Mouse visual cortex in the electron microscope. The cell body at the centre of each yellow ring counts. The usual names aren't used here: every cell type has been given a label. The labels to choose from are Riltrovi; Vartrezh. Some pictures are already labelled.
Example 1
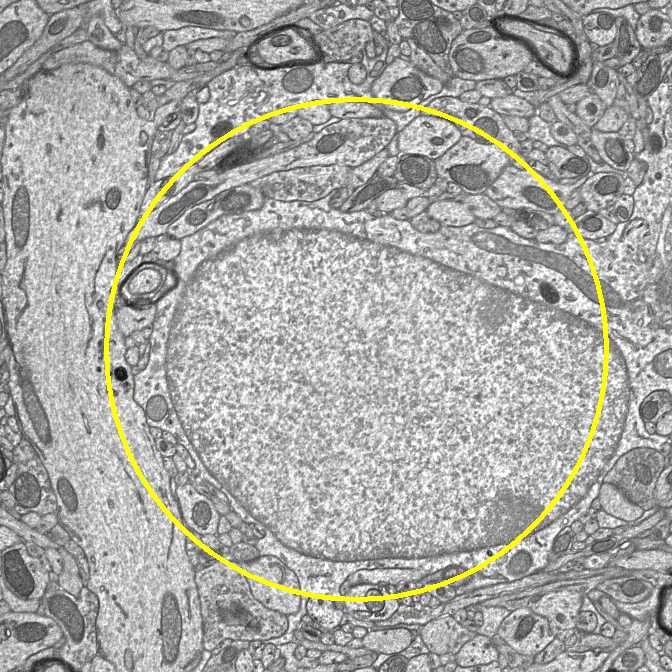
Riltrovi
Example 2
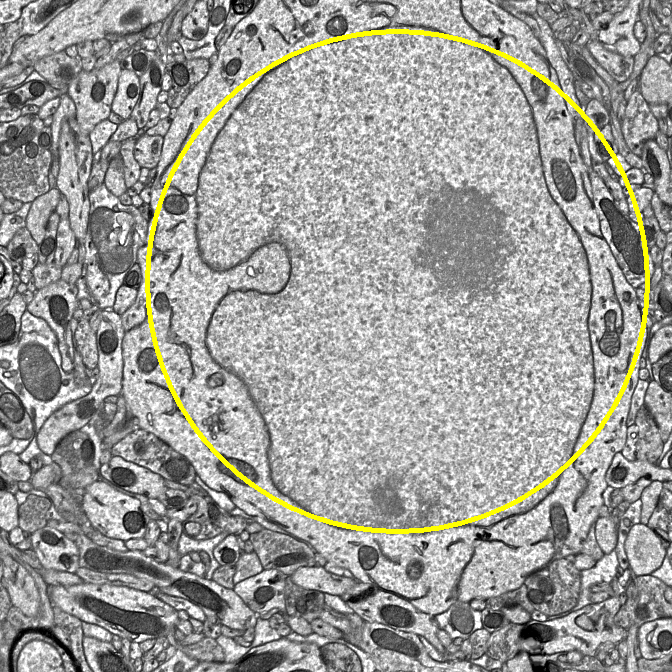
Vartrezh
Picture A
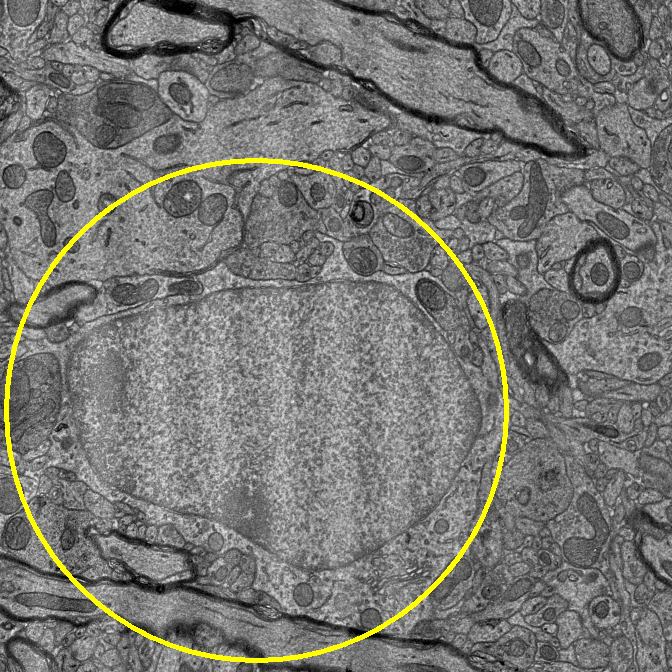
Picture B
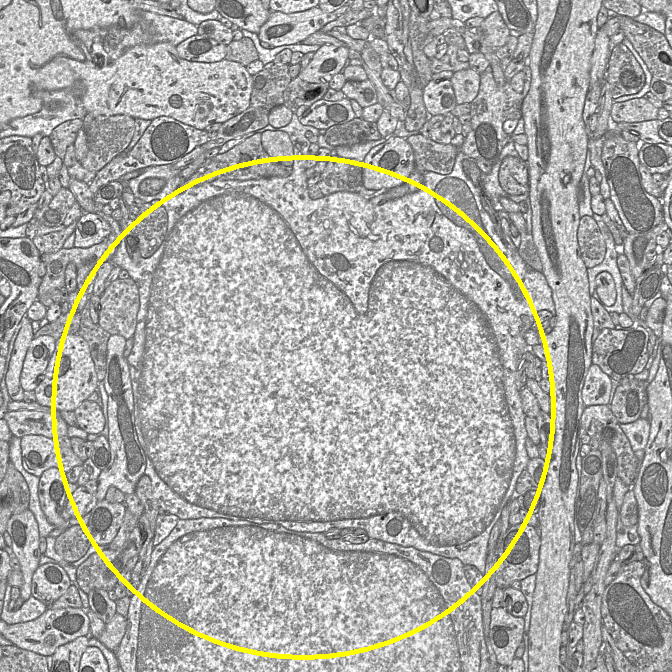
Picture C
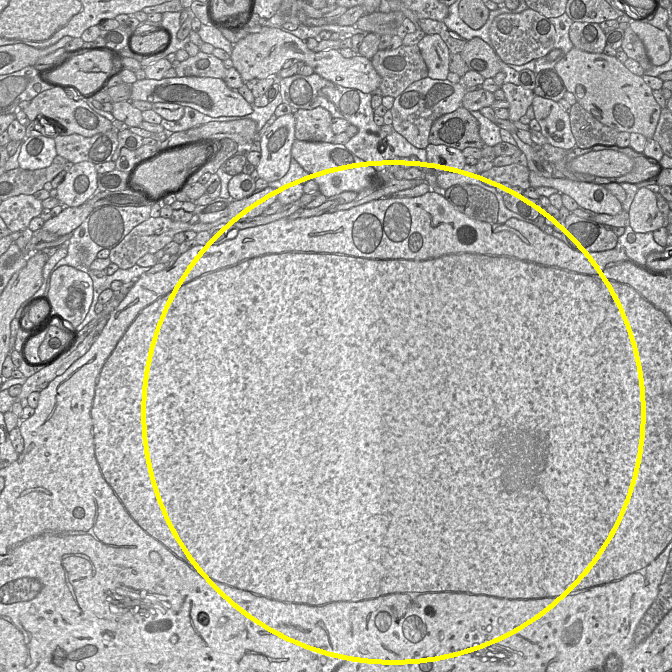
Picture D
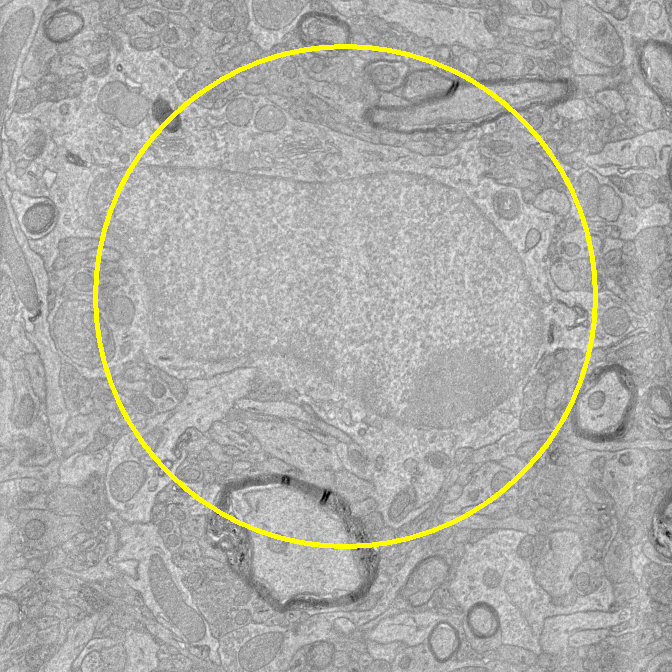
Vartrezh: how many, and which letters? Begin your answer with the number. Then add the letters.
1, namely C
